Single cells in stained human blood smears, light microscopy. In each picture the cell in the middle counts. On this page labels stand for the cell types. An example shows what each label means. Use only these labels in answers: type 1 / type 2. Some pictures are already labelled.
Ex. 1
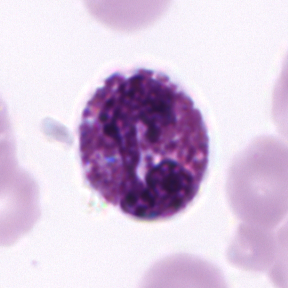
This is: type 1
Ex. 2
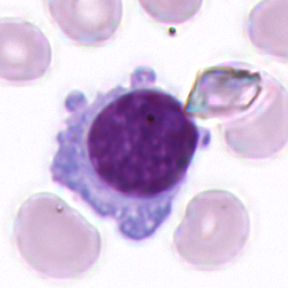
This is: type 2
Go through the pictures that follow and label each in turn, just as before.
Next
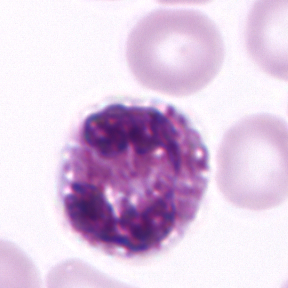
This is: type 1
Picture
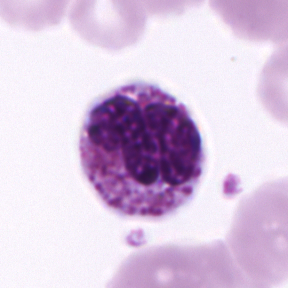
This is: type 1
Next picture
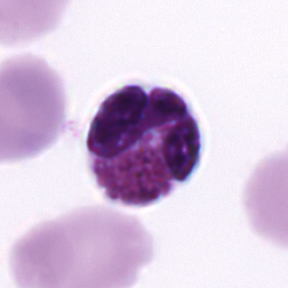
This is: type 1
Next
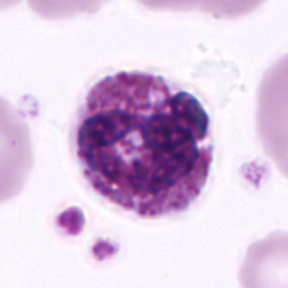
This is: type 1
